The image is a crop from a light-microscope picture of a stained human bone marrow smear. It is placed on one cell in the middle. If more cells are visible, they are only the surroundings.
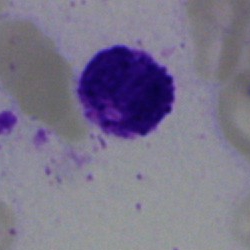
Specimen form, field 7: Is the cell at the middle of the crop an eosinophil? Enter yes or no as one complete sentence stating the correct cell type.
No, the central cell qualifies as a basophil rather than as an eosinophil.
